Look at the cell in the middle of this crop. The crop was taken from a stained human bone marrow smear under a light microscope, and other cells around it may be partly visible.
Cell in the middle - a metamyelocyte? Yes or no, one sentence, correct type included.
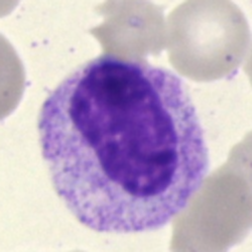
Yes, the cell found in the middle is a metamyelocyte.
